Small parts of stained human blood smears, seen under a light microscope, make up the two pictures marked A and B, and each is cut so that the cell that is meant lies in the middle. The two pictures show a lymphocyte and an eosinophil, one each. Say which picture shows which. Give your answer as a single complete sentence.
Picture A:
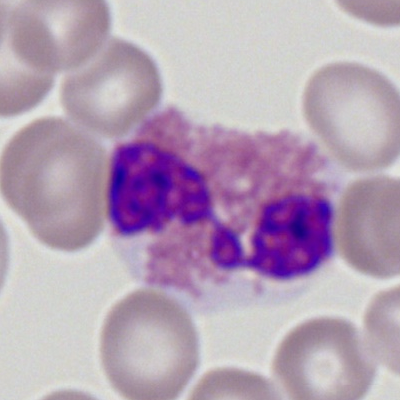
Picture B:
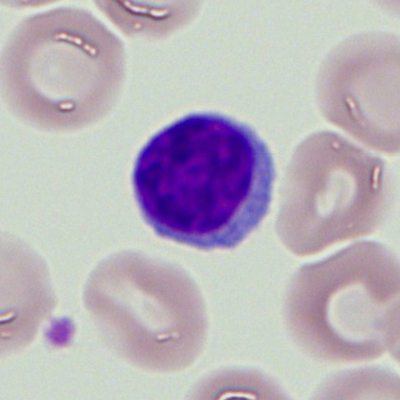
Picture B shows a lymphocyte, while picture A shows an eosinophil.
